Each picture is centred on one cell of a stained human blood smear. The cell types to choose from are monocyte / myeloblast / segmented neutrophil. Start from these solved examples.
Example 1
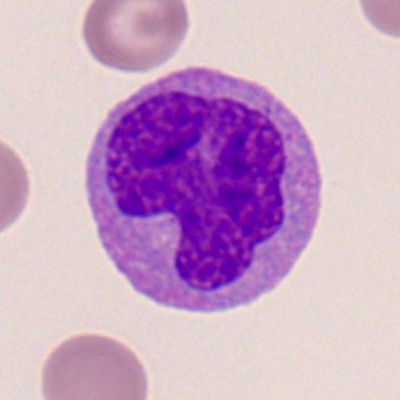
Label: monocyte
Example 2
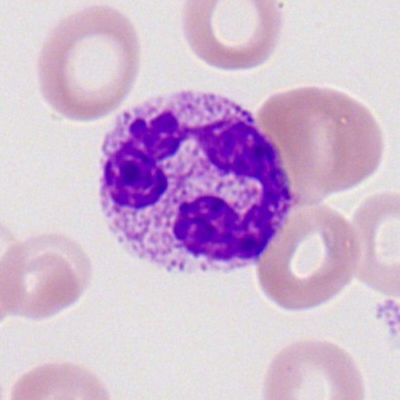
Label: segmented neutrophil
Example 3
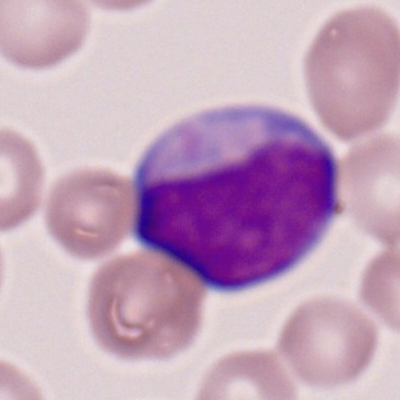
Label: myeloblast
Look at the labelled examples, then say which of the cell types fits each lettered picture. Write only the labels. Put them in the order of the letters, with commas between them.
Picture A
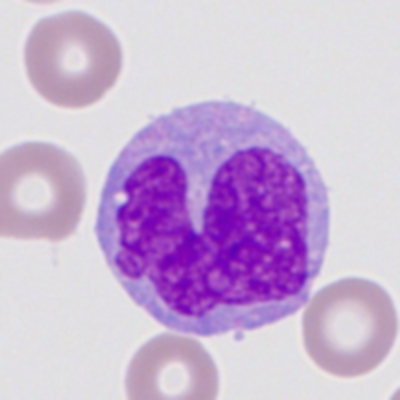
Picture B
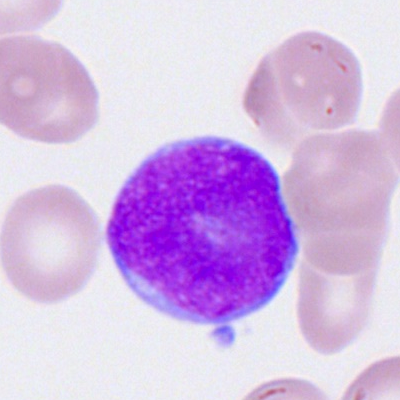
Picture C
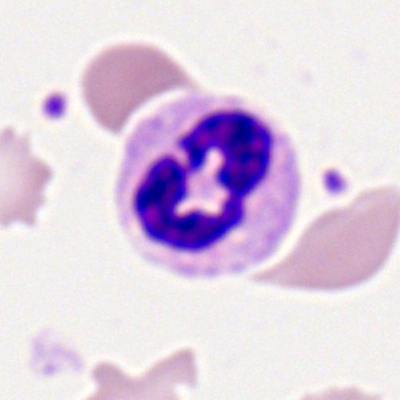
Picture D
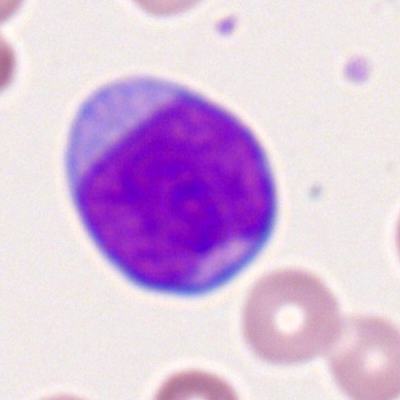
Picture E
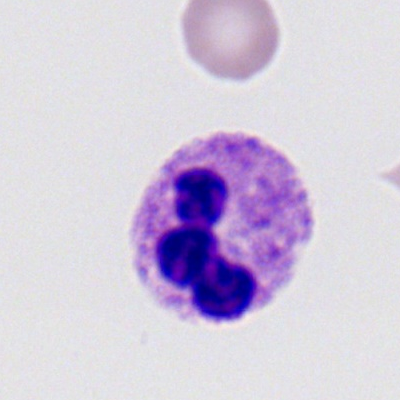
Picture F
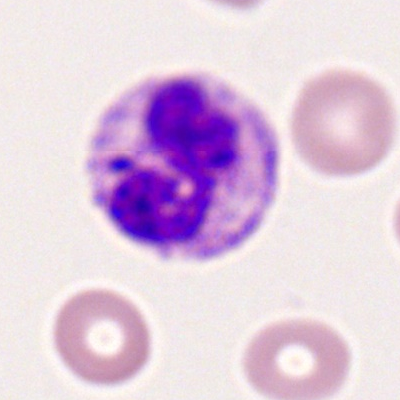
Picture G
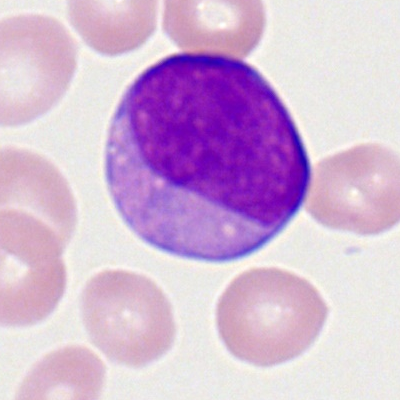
monocyte, myeloblast, segmented neutrophil, myeloblast, segmented neutrophil, segmented neutrophil, myeloblast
